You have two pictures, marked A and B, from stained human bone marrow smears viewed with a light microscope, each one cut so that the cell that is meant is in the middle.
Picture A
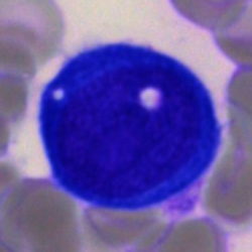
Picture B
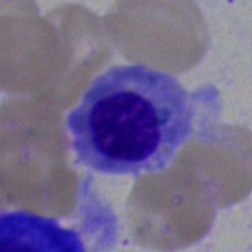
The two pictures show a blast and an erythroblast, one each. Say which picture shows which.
A: blast
B: erythroblast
